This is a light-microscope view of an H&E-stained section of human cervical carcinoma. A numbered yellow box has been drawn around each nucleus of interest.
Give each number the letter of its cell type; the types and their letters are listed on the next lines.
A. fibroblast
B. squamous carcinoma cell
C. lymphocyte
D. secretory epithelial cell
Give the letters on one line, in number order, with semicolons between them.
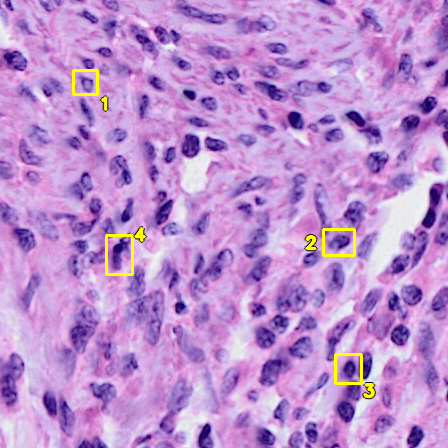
A; C; C; C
